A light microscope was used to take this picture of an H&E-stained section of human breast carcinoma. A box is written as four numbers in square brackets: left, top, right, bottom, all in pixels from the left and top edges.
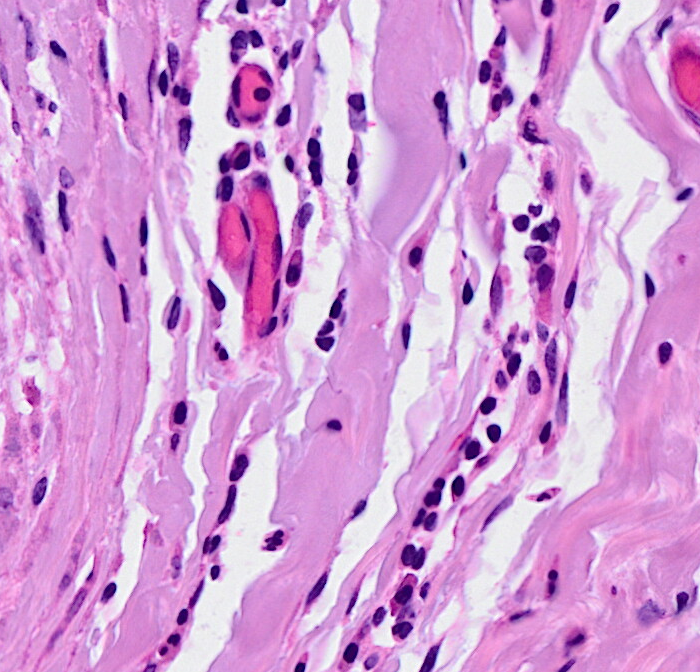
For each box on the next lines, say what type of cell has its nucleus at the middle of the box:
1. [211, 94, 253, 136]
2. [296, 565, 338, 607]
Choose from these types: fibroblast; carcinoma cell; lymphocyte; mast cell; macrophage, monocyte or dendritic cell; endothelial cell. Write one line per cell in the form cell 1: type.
cell 1: endothelial cell
cell 2: fibroblast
